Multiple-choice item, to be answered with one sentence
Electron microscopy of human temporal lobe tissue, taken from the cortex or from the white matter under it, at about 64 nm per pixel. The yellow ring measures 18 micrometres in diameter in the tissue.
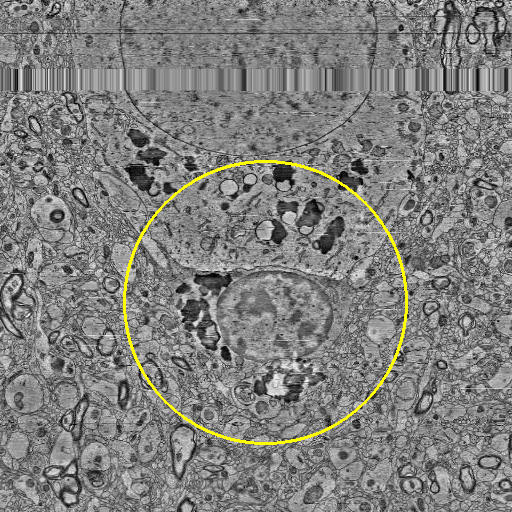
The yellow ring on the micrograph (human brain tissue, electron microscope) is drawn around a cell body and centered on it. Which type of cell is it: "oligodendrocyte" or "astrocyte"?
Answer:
The ring is centered on an oligodendrocyte.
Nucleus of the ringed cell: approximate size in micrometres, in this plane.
The nucleus has a long axis of about 8 micrometres and a short axis of about 6 micrometres in this plane.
